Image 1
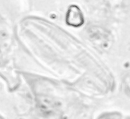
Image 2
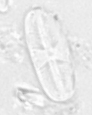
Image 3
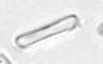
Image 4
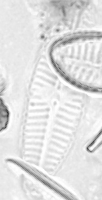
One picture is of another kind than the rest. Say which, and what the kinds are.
Picture 4 shows Navicula; the rest show Sellaphora.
